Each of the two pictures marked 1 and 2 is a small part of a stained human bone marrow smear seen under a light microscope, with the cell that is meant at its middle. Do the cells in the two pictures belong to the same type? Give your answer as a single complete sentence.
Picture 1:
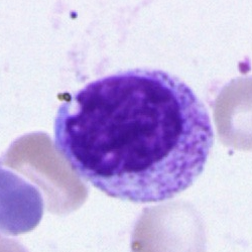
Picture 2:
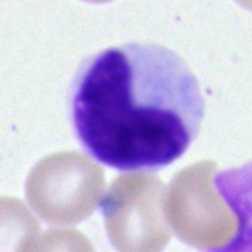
No, they differ: the cell is a myelocyte in picture 1 and a metamyelocyte in picture 2.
